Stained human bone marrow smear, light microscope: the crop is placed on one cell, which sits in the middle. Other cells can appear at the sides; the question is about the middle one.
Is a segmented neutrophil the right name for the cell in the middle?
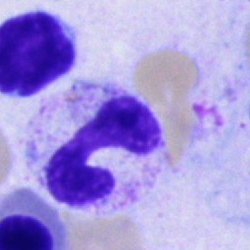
yes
